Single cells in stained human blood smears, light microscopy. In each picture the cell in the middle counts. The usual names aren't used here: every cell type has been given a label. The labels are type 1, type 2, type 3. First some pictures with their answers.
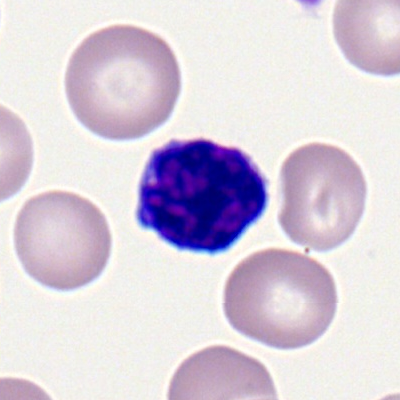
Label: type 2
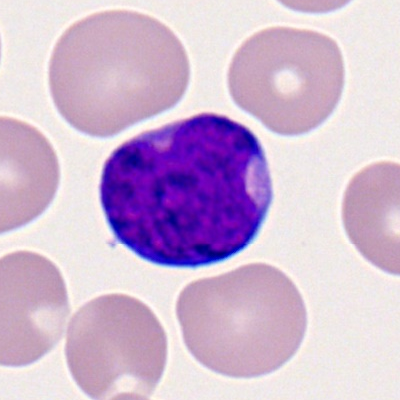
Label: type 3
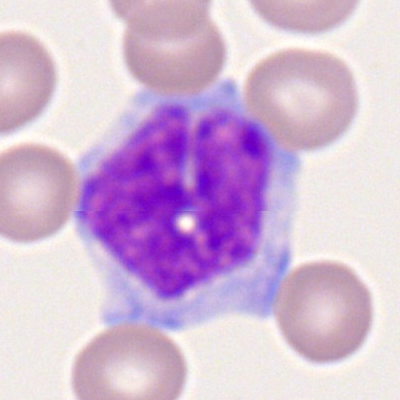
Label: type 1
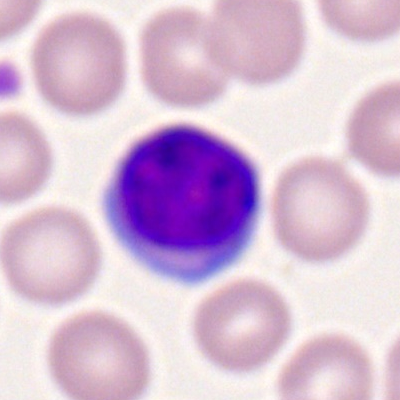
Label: type 2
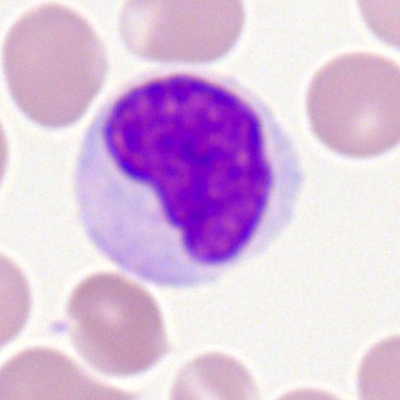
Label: type 1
